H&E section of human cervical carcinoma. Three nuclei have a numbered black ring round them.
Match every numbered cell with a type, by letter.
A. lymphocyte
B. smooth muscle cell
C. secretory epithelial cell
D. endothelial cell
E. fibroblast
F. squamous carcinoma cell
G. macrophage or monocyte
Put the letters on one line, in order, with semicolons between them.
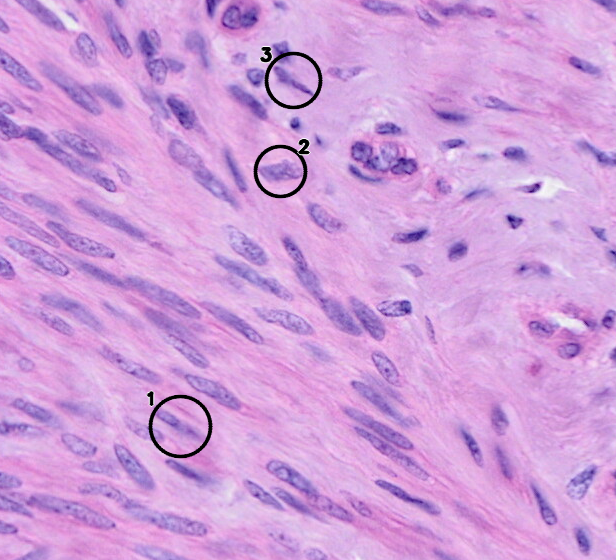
B; E; E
